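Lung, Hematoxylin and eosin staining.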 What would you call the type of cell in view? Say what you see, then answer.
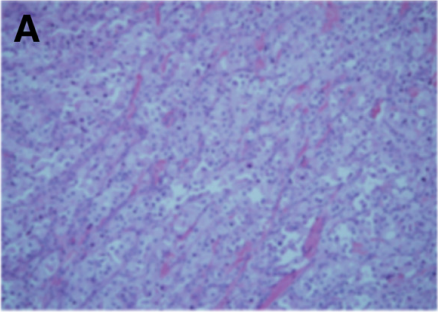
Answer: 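Clear tumor cells. Sheets of cells with pale, clear cytoplasm. Thin pink fibrovascular strands run between the cell groups.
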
